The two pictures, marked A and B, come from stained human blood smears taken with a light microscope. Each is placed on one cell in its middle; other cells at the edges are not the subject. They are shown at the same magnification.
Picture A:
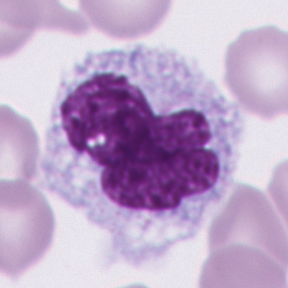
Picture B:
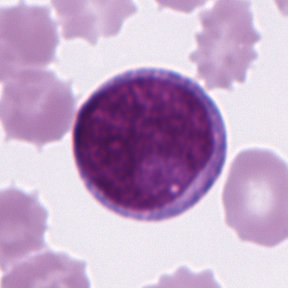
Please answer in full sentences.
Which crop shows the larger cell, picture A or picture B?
Picture A holds the larger cell; it covers about 1.5 times the area of the cell in picture B.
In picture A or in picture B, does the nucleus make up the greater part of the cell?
In picture B the nucleus takes up the larger part of its cell.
